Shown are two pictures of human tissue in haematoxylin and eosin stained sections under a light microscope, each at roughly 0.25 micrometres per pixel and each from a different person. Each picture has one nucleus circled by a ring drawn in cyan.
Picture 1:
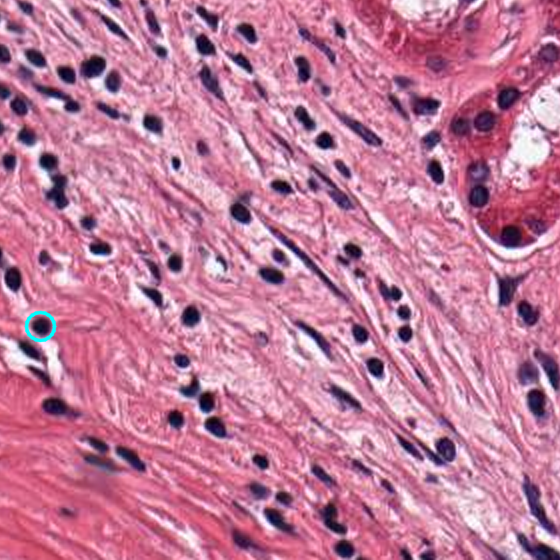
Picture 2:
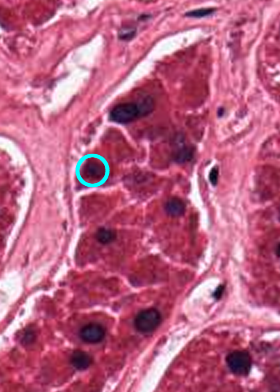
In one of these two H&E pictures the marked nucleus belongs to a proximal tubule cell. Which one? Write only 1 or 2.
2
